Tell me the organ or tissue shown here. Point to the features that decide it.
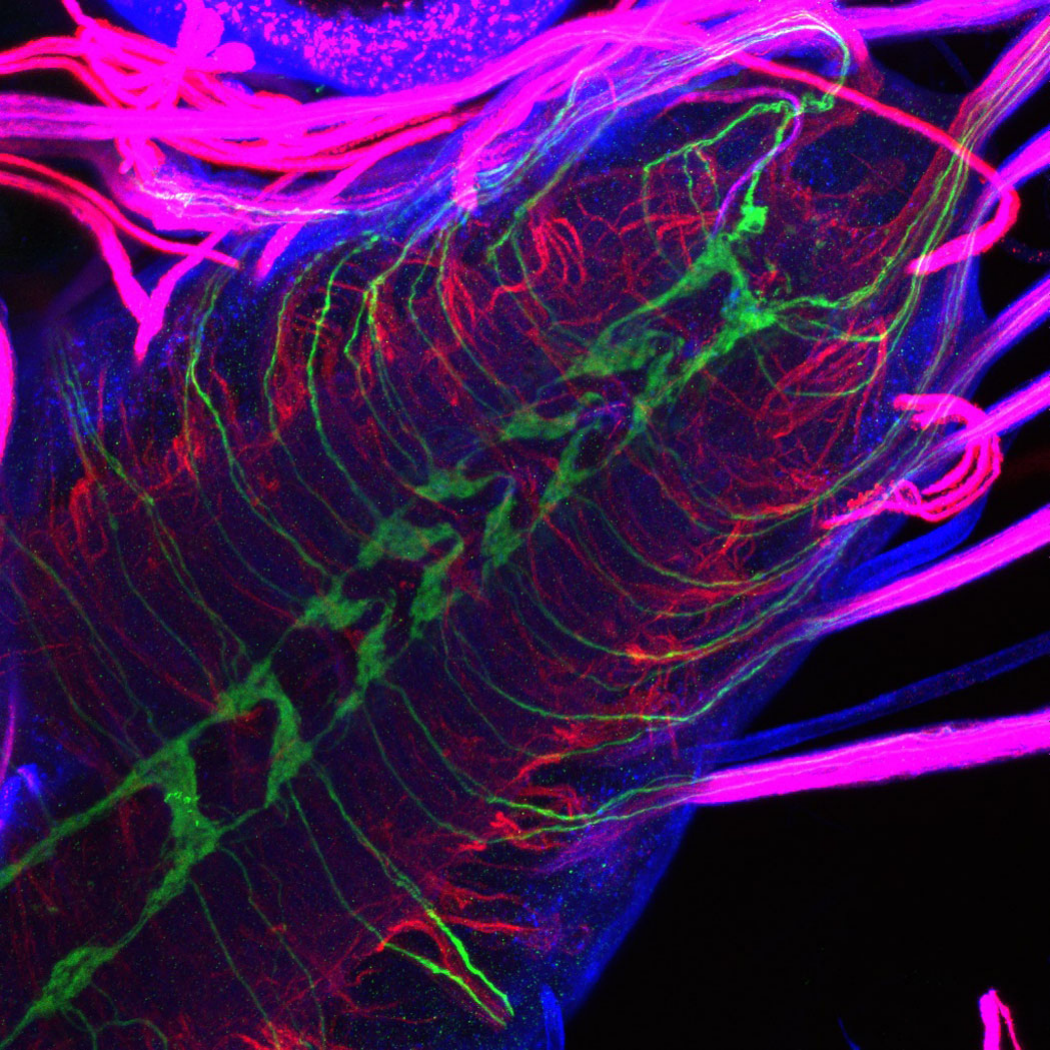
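An elongated, tapering mass of nervous tissue fills most of the image. Many thick fibre bundles leave its side edge and top. Fine fibres cross it in regularly spaced, curved bands. The answer: ventral nerve cord.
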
